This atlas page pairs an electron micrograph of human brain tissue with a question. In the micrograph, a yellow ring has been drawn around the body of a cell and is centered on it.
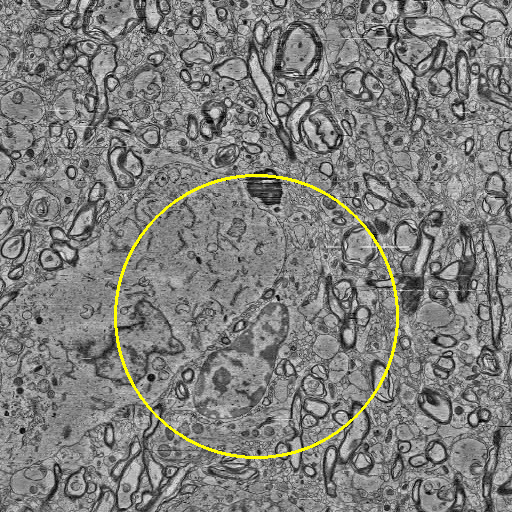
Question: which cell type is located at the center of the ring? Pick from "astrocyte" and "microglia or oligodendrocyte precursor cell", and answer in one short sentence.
Located at the center of the ring is a microglial cell or oligodendrocyte precursor cell.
